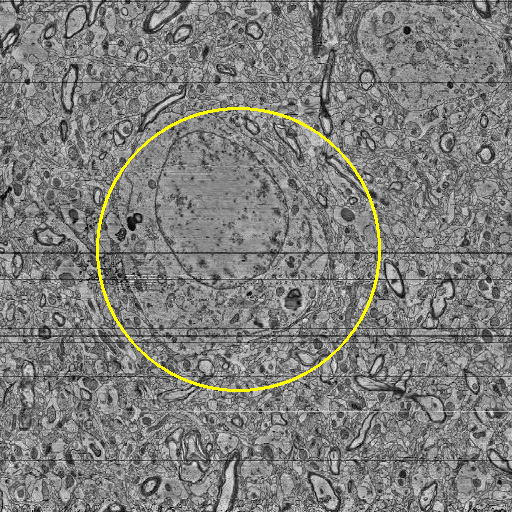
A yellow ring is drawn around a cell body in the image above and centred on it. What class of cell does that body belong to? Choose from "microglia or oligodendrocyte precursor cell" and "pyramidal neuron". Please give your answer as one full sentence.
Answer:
The yellow ring above is centred on the cell body of a pyramidal neuron.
